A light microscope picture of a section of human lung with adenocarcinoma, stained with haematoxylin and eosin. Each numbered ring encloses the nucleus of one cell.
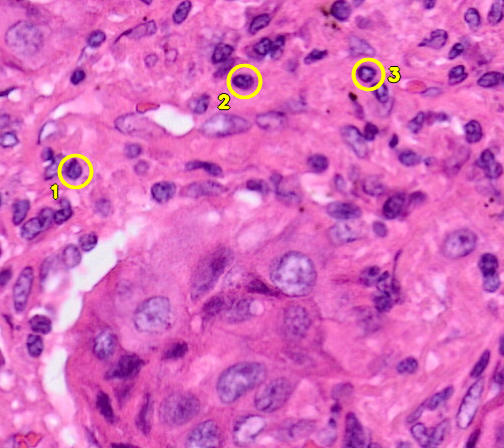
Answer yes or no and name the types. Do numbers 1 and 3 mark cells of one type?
No, as to type, cell 1 is a lymphocyte, and cell 3 is a mast cell.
